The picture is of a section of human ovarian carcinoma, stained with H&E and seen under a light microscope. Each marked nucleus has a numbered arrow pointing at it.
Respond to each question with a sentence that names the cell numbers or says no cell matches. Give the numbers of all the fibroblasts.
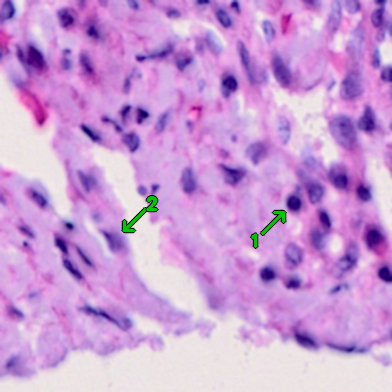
The cell labelled 2 is a fibroblast, while the remaining numbered cells are not.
